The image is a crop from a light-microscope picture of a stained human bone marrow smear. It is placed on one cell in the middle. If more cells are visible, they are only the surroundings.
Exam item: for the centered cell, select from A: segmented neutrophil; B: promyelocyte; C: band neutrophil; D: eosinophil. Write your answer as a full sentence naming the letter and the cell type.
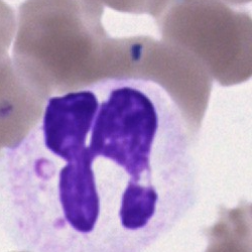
Identified correctly by option A, the cell in the middle is a segmented neutrophil.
